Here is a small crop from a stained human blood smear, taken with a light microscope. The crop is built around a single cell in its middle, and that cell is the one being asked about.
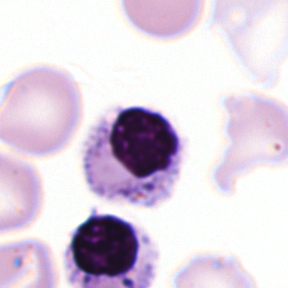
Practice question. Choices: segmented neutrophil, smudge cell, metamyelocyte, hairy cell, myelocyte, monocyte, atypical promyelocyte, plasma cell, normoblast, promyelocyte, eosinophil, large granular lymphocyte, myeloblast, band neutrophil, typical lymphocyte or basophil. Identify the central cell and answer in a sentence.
The cell occupying the middle of the crop is a normoblast.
